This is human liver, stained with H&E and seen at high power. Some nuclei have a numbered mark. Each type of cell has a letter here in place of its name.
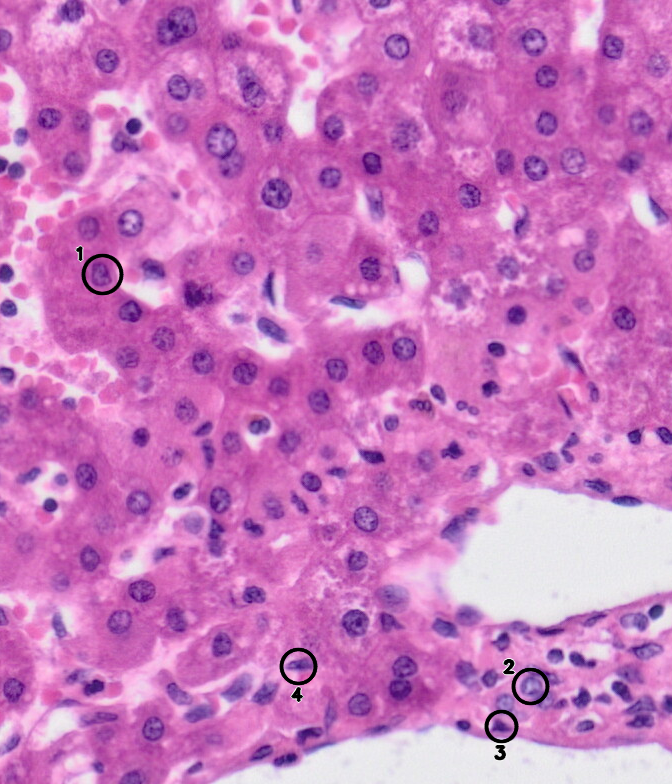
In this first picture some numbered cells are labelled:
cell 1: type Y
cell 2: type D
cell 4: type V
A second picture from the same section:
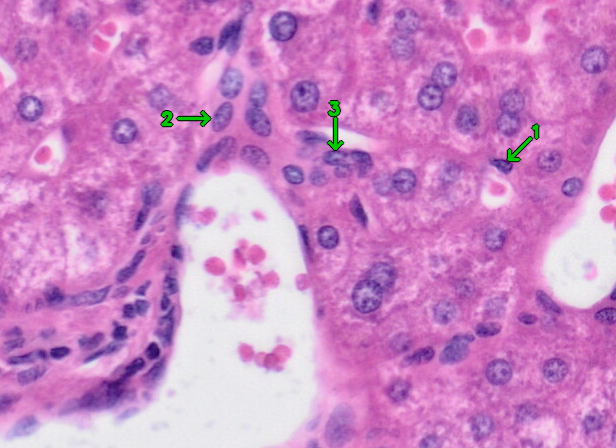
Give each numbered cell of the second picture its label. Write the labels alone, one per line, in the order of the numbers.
type V
type D
type D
